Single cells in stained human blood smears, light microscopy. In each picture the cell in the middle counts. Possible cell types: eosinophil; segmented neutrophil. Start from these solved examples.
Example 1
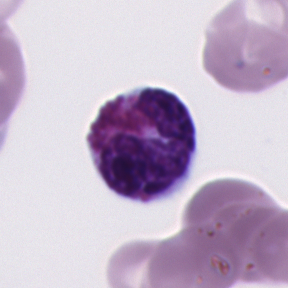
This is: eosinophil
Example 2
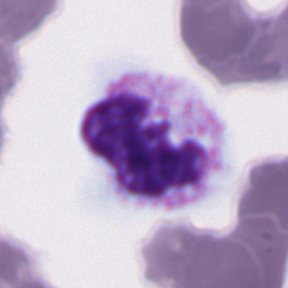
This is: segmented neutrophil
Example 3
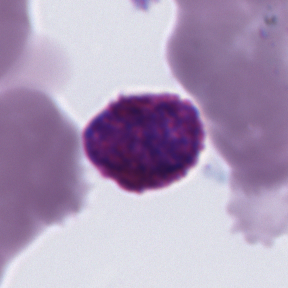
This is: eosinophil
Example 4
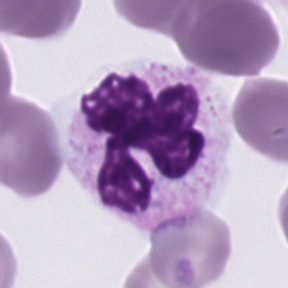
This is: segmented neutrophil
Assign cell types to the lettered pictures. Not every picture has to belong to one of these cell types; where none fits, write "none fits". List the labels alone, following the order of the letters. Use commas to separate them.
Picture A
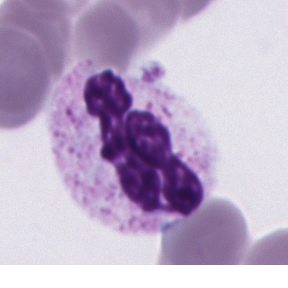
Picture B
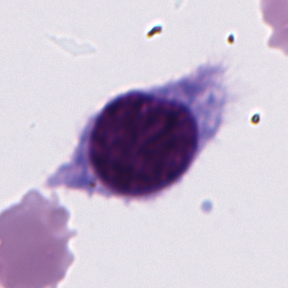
segmented neutrophil, none fits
